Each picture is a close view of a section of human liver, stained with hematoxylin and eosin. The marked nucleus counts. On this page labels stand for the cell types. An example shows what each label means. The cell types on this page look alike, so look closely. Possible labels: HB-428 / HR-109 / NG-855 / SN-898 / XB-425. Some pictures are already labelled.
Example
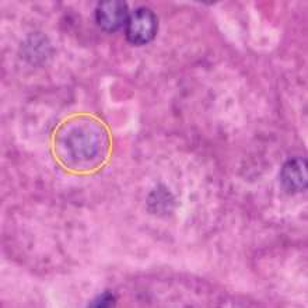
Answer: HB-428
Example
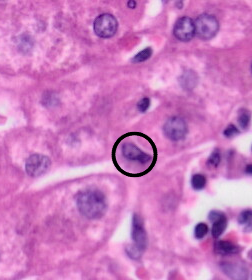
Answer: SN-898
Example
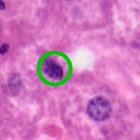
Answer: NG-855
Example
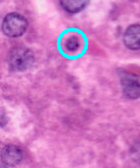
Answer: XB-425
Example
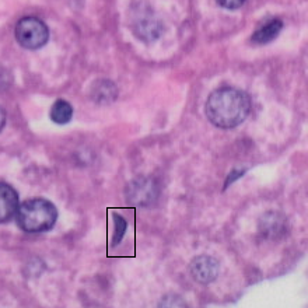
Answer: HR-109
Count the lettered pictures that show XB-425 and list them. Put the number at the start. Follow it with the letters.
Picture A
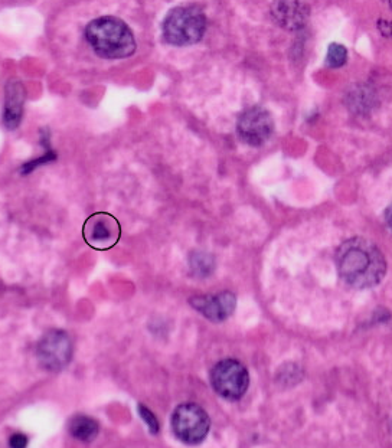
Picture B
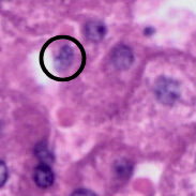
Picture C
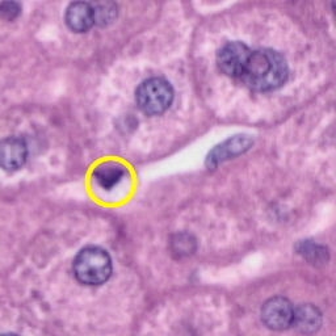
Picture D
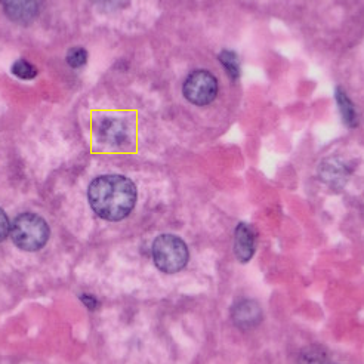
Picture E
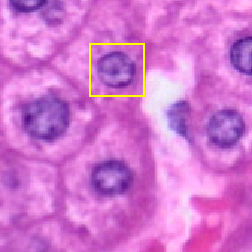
0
